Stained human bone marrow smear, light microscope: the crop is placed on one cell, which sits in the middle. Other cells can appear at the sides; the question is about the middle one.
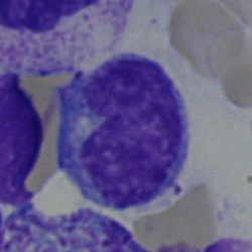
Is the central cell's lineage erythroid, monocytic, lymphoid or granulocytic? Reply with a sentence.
The lineage to which the central cell belongs is monocytic.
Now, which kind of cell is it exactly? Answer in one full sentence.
In this smear crop, the middle cell is a monocyte.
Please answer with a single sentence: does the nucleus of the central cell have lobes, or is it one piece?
Have a look at the nucleus, which is one compact mass, round, oval or kidney-shaped.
